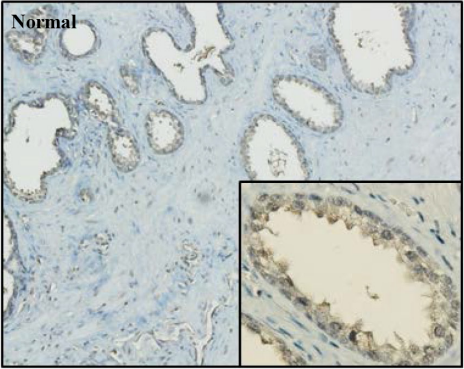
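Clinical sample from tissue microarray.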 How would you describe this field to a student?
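Prostate tissue with scattered glands of varied size and open lumens, lying in a wide, pale blue fibromuscular stroma. The stroma shows elongated spindle-shaped nuclei.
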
